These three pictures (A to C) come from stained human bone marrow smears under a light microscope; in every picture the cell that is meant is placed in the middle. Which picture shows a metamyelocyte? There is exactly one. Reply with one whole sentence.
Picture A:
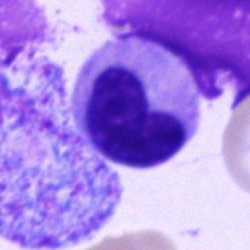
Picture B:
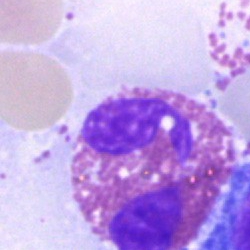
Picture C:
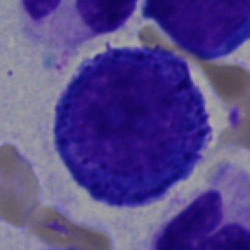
It is picture A that shows the metamyelocyte.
